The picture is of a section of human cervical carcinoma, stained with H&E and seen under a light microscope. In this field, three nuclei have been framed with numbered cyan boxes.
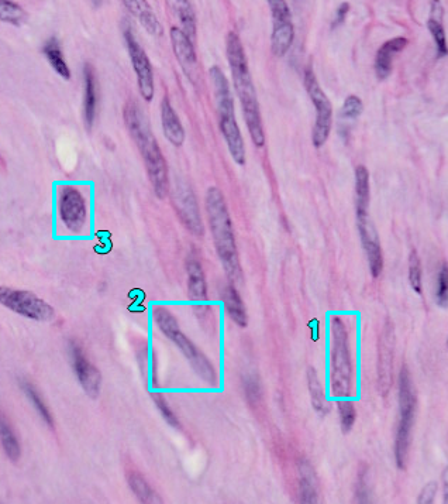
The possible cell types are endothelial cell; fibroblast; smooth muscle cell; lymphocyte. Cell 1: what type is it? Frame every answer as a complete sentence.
Within this field of view, the cell labelled 1 is a smooth muscle cell.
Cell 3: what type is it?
The cell that is numbered 3 is a fibroblast.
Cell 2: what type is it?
Cell 2 in the field of view is a fibroblast.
